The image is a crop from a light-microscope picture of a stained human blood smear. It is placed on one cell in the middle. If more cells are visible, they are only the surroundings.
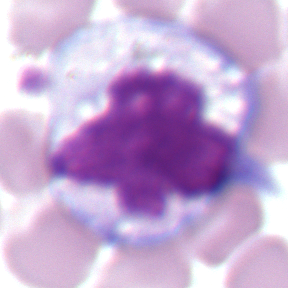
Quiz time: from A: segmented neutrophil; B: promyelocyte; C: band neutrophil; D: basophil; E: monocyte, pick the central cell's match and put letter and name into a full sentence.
The middle cell of the crop is a monocyte; accordingly, option E is correct.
